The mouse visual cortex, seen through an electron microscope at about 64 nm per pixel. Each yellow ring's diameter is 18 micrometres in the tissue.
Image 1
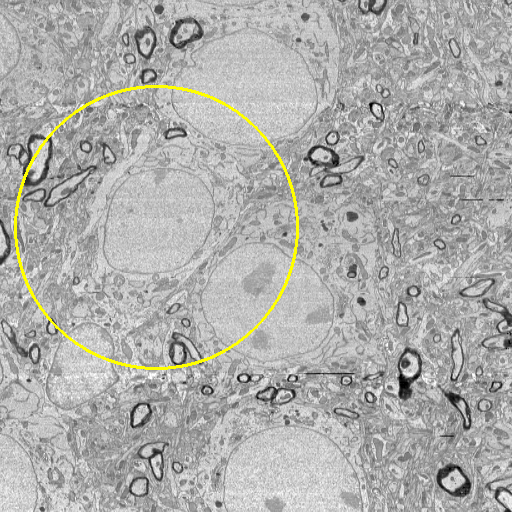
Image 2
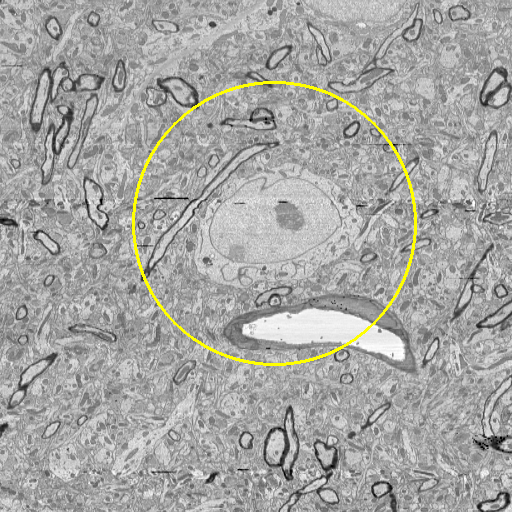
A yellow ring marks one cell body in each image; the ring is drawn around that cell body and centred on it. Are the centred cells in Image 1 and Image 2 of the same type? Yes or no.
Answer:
yes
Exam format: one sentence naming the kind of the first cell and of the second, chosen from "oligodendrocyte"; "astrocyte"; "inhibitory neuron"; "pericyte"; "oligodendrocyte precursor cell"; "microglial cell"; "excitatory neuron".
Each of the two cells is an excitatory neuron.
